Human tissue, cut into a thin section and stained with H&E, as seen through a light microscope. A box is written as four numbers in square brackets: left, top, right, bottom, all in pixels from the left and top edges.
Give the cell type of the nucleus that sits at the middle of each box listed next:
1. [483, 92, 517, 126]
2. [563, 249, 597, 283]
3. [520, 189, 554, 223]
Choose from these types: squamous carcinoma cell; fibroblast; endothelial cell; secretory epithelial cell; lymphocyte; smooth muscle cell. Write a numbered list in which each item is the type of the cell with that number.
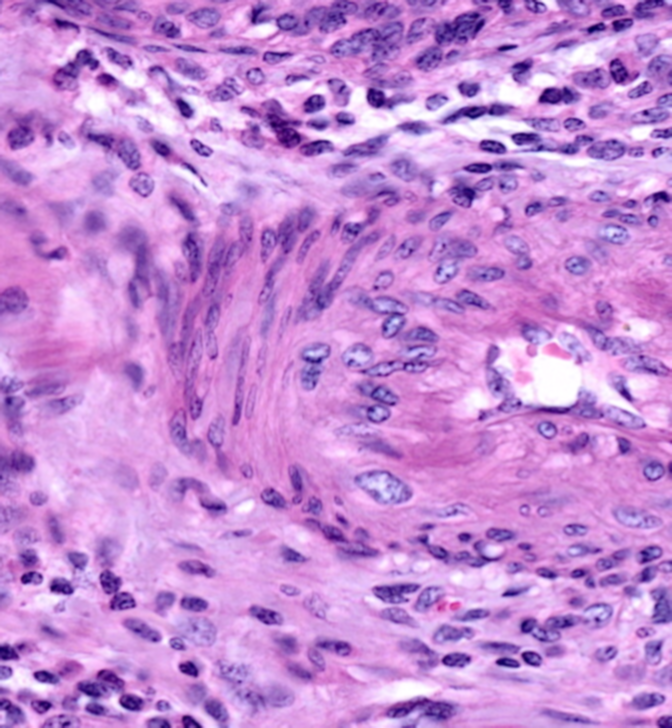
1. lymphocyte
2. smooth muscle cell
3. smooth muscle cell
